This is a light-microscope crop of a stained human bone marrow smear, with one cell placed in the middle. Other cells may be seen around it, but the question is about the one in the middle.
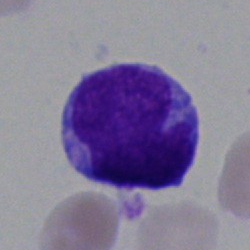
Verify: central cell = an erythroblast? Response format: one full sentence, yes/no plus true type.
No, the cell in the middle is not an erythroblast but a blast.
